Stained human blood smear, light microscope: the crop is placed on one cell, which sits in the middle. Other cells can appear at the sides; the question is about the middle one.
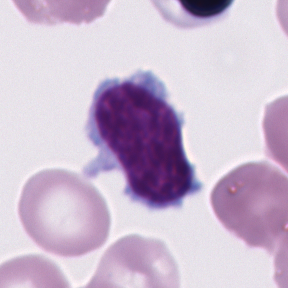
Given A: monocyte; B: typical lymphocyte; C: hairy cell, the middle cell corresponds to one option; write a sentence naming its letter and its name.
Option B is to be chosen, as the central cell is a typical lymphocyte.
